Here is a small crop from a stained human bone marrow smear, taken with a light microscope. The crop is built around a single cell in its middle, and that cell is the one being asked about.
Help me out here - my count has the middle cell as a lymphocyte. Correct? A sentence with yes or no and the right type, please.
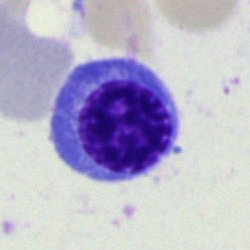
No, looking at the central cell, it is a normoblast rather than a lymphocyte.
